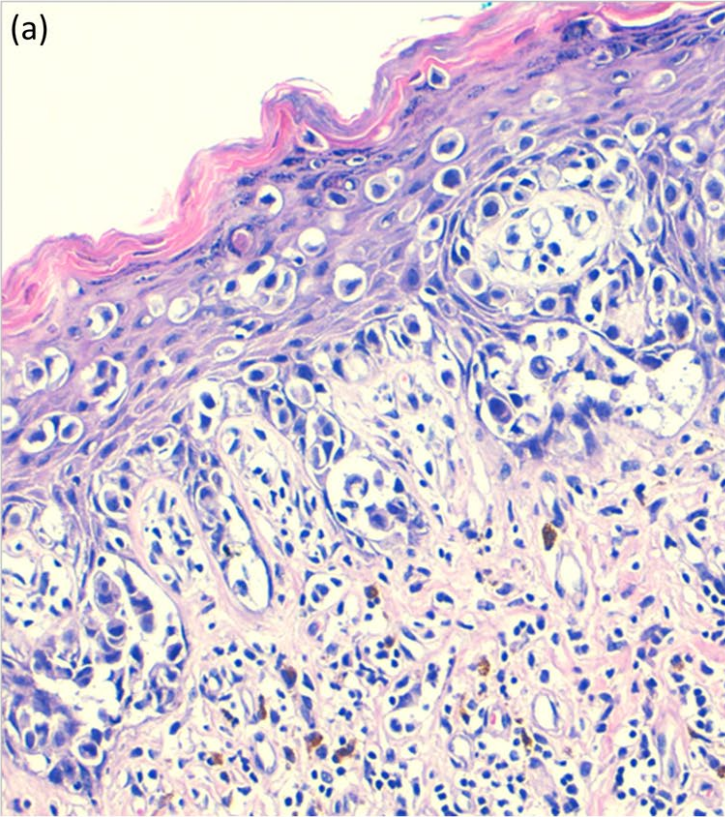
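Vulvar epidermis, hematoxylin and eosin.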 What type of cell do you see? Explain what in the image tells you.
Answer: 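Large cells with clear, pale cytoplasm lie scattered among the darker keratinocytes of the epidermis. Some of these cells sit singly, others form small nests near the base of the epidermis. Their nuclei are enlarged and dark compared with the surrounding keratinocytes.
Hence: pale-staining tumor cells.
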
